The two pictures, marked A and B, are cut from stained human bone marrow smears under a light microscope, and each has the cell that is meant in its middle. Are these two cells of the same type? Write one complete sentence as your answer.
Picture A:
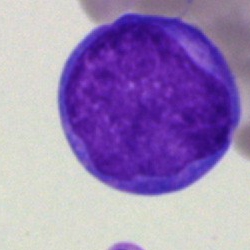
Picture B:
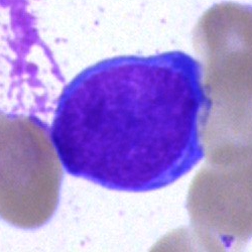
Yes, the two pictures both show blasts.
